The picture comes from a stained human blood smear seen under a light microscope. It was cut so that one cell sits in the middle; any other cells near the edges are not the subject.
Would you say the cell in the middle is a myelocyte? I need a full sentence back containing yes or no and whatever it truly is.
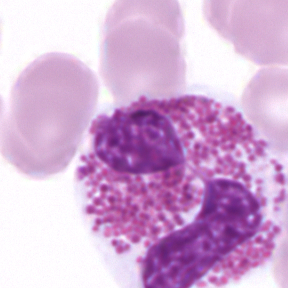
No, the cell in the middle of the crop counts as an eosinophil and not as a myelocyte.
